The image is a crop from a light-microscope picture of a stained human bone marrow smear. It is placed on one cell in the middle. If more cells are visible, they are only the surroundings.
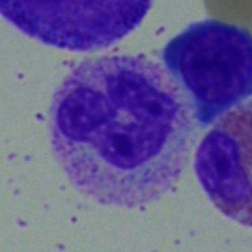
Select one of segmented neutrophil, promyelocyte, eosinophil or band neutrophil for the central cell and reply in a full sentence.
The cell of interest, located centrally, is a segmented neutrophil.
